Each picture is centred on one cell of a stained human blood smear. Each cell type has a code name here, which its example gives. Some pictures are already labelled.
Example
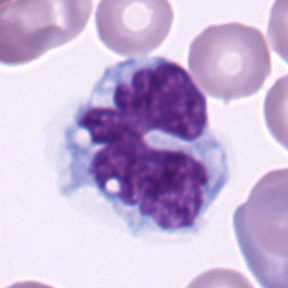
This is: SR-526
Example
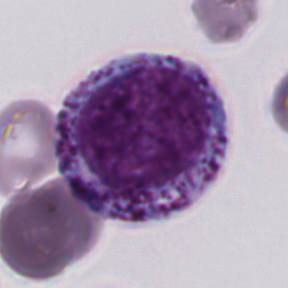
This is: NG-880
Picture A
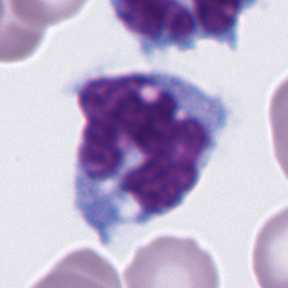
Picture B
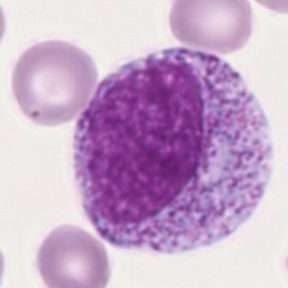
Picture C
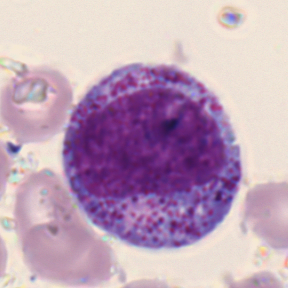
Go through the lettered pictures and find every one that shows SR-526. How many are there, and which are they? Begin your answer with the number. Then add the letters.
Count: 1 (A)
